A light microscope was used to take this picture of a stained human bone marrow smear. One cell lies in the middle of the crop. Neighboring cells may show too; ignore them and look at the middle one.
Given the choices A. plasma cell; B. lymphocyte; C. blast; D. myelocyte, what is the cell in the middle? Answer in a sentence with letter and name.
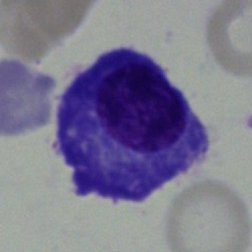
Of the choices given, option A is right, as the central cell is a plasma cell.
